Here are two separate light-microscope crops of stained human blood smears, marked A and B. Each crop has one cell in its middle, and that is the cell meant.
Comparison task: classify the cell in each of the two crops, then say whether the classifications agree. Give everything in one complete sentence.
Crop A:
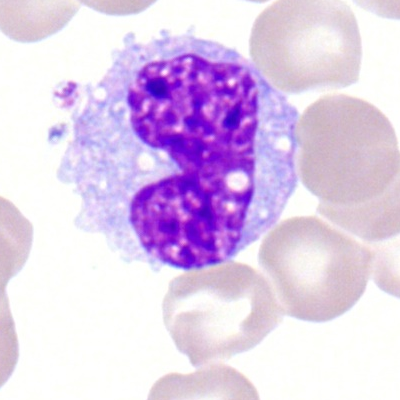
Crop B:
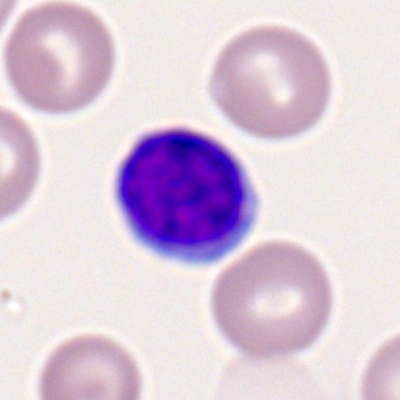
No, it is a monocyte that crop A shows, and a lymphocyte that crop B shows.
